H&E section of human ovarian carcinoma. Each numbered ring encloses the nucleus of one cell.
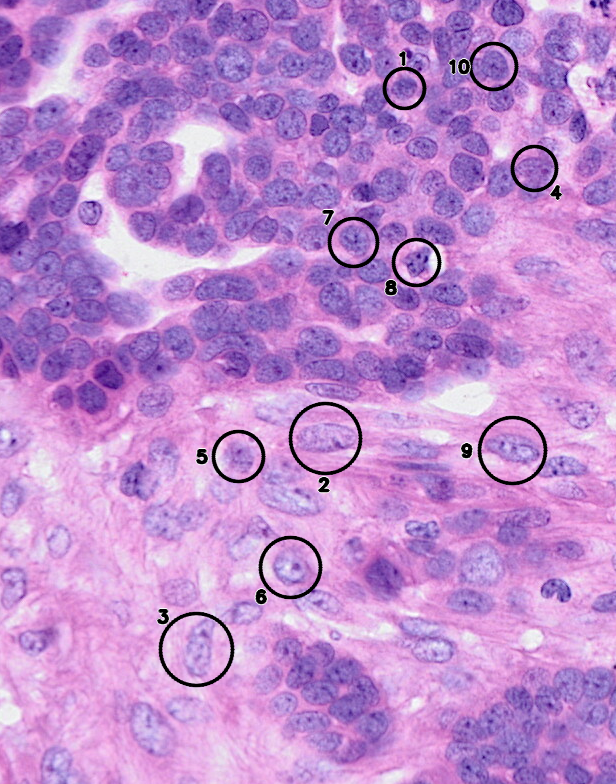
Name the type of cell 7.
carcinoma cell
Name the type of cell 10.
carcinoma cell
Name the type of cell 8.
macrophage or monocyte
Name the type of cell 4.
carcinoma cell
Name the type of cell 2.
fibroblast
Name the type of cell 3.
fibroblast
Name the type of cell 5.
fibroblast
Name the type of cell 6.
fibroblast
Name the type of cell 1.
carcinoma cell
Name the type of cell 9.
fibroblast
